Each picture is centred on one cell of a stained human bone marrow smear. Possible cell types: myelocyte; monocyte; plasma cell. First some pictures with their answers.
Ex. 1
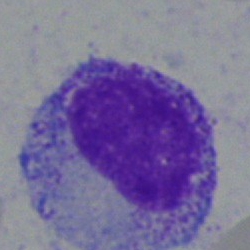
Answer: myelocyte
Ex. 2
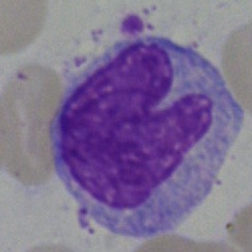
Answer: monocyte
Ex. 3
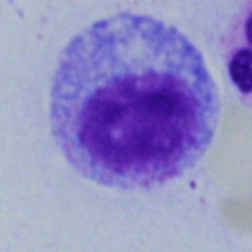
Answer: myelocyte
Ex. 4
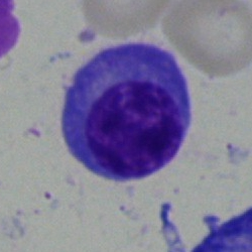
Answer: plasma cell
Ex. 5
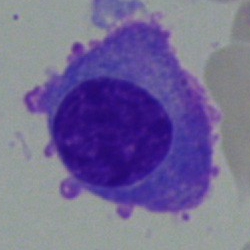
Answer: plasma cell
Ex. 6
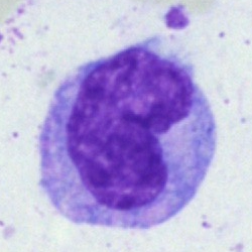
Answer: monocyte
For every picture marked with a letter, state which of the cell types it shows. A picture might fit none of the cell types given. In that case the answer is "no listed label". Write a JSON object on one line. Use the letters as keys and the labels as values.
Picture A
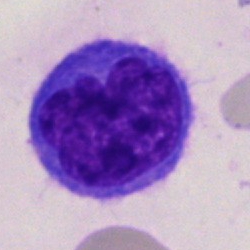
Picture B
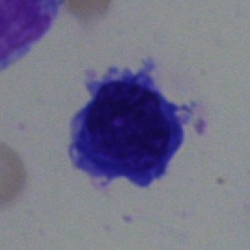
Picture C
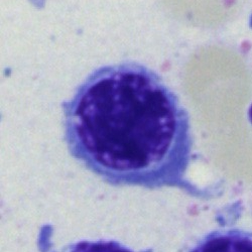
{"A": "monocyte", "B": "no listed label", "C": "no listed label"}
